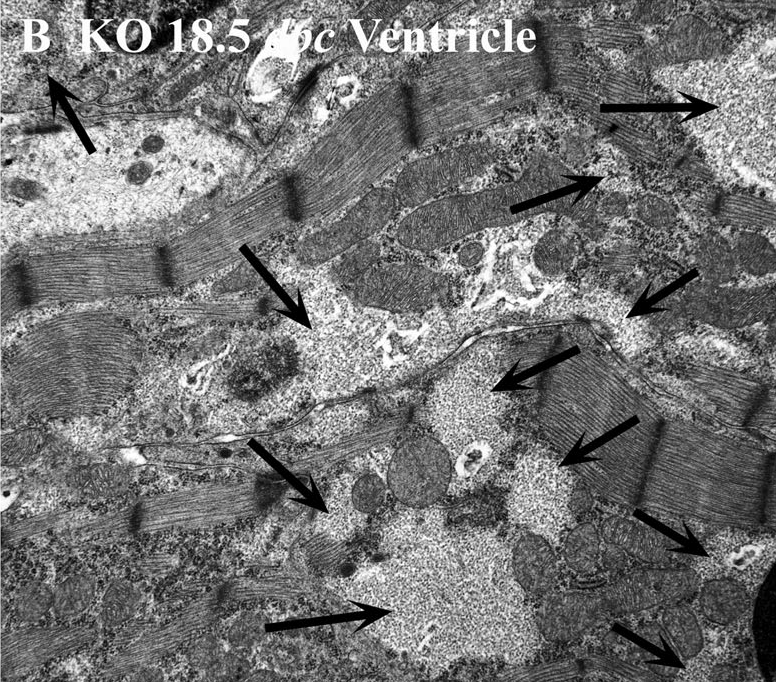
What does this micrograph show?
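Heart muscle cells are seen at high magnification. Striated myofibril bundles with dark Z-lines run across the field. Between them lie clusters of mitochondria with closely packed cristae. Several large, pale areas fill the spaces between the myofibrils and mitochondria.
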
